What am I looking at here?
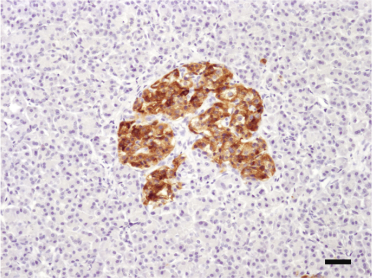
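This section shows a pancreatic islet lying within surrounding pancreatic tissue. The islet is a compact, rounded and somewhat lobulated cluster of cells whose cytoplasm is stained an intense brown. The brown cells are tightly packed, with only small pale gaps between groups of them. The surrounding tissue is pale and unstained, with many small blue nuclei spread evenly through it. The border between the brown islet and the pale tissue around it is sharp.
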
